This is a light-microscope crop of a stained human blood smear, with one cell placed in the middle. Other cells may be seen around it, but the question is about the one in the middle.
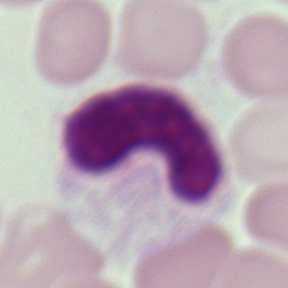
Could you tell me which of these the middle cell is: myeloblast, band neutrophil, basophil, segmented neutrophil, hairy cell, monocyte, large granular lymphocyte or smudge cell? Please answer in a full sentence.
The cell found in the middle of this crop is a band neutrophil.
